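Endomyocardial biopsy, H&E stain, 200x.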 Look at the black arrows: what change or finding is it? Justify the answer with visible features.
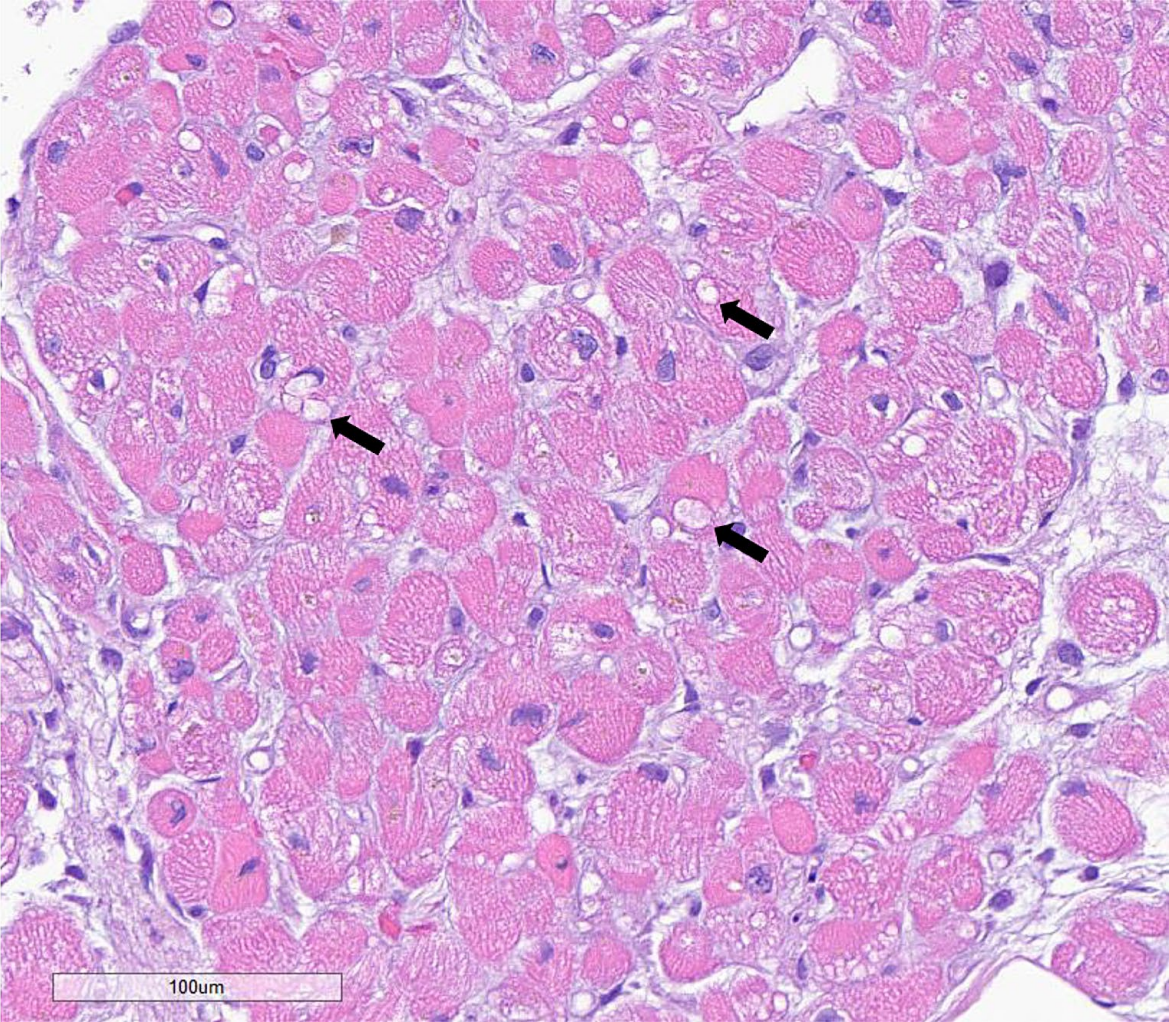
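The arrows point to round clear empty spaces inside pink muscle cell profiles. The clear spaces vary in size and some occur in small clusters within one cell. Similar clear spaces are scattered in many other fibres across the field. On this evidence: cytoplasmic vacuolations.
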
